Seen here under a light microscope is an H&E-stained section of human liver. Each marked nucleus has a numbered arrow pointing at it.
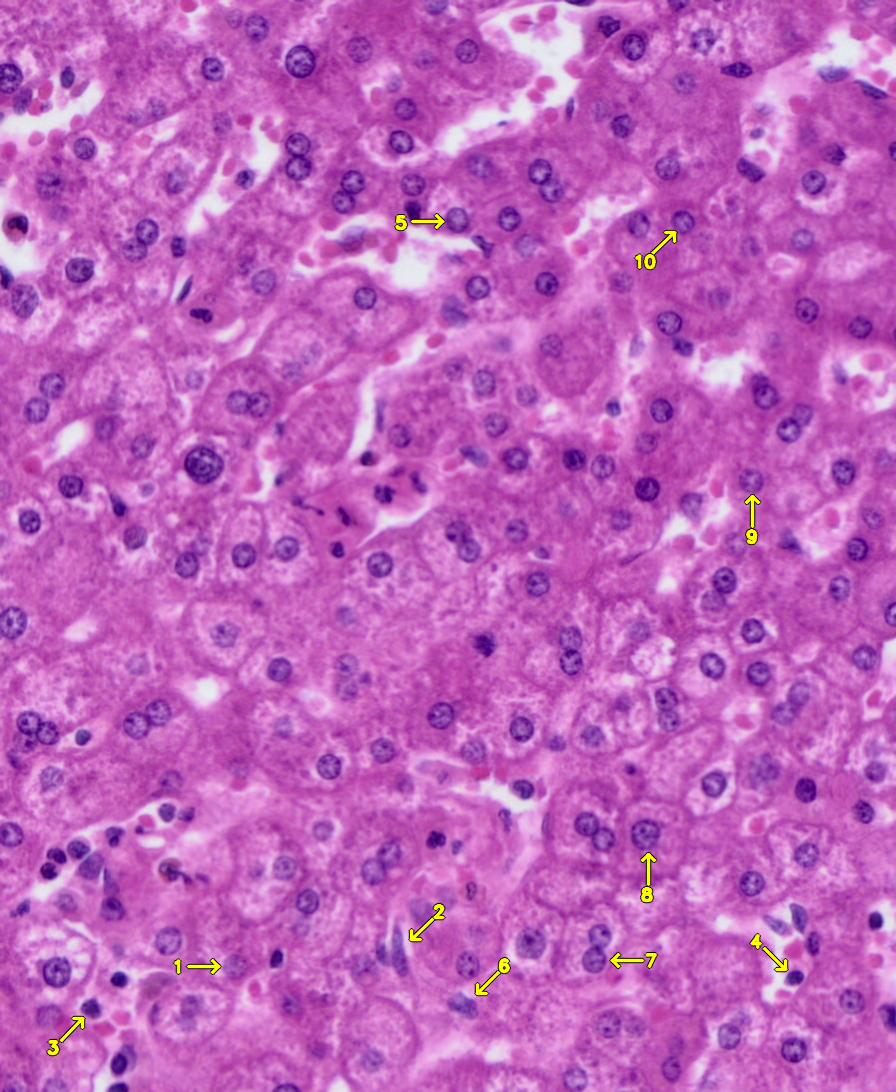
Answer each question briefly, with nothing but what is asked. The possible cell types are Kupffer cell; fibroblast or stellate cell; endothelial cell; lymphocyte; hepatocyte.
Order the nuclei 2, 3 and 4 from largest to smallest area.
2, 3, 4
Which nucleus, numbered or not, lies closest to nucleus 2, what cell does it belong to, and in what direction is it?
a fibroblast or stellate cell, to the left of nucleus 2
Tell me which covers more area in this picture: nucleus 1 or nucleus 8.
8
